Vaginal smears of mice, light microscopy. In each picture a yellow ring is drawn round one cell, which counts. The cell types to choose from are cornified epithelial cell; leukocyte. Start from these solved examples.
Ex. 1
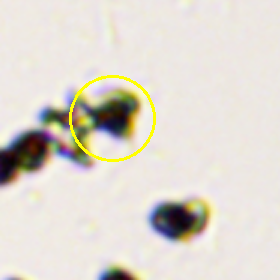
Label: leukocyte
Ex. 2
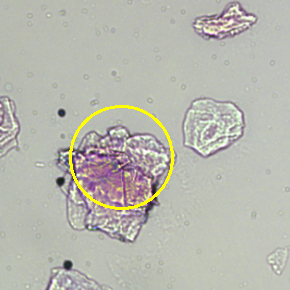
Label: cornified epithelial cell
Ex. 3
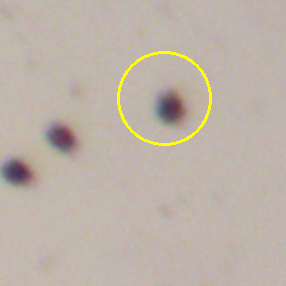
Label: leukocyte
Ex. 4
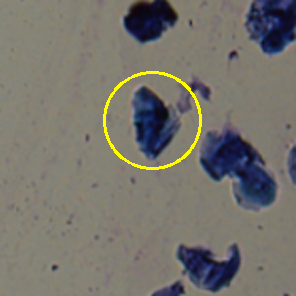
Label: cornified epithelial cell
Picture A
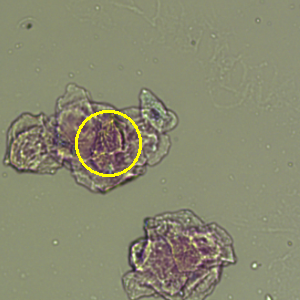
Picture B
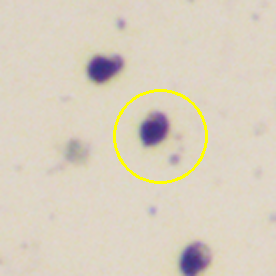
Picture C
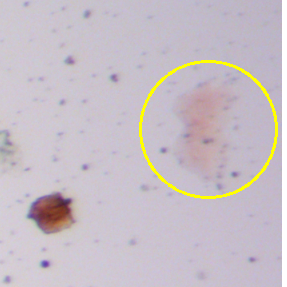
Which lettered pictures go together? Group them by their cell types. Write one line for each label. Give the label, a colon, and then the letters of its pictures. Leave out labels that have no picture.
cornified epithelial cell: A, C
leukocyte: B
